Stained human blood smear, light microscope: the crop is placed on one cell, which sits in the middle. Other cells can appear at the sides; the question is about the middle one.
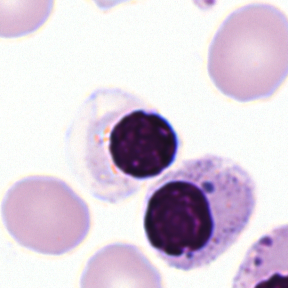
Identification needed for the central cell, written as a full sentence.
For this crop, the cell in the middle is a normoblast.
